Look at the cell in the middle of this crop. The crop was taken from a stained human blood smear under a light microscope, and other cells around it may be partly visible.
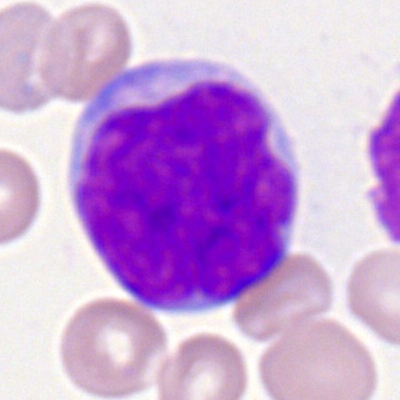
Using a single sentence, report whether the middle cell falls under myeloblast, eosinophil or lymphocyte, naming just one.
Classified as a myeloblast is the cell in the middle of this crop.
